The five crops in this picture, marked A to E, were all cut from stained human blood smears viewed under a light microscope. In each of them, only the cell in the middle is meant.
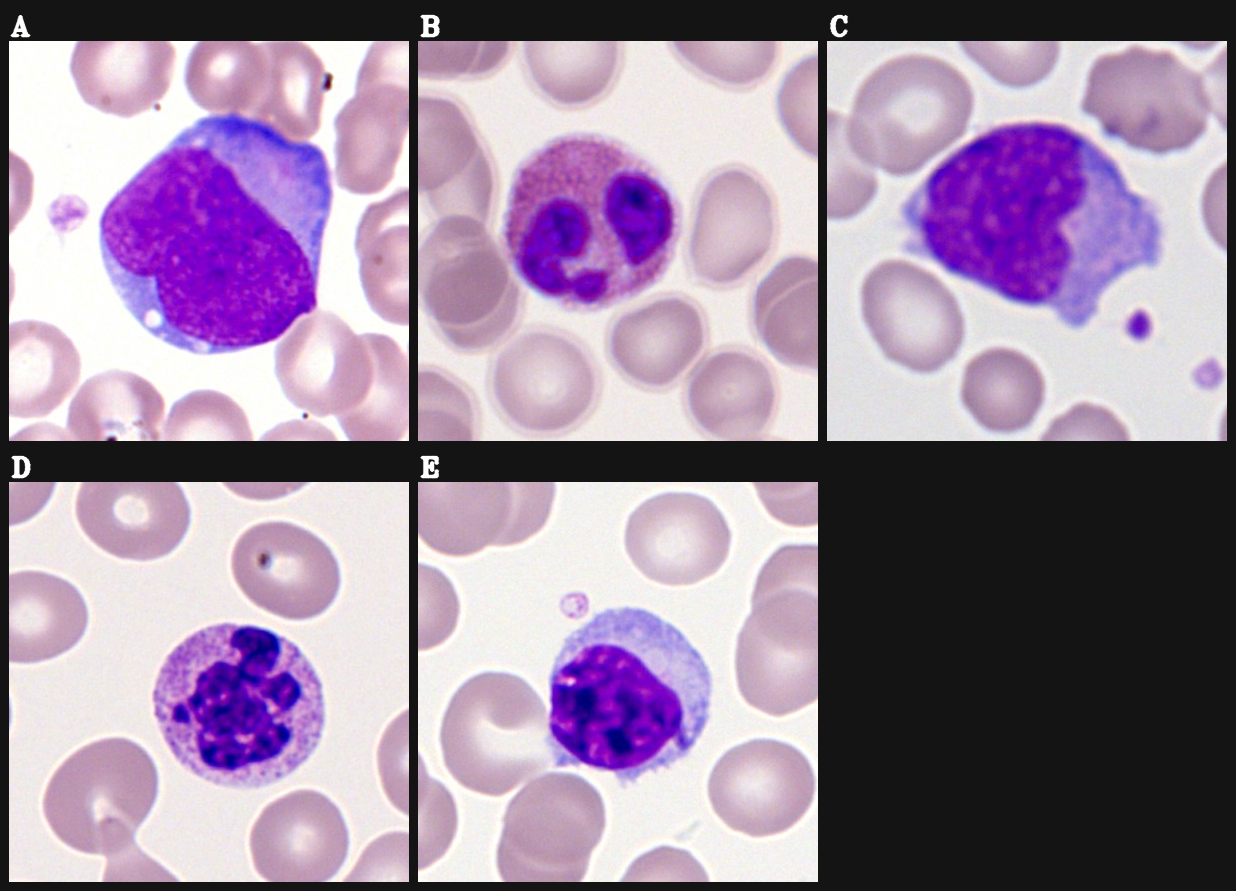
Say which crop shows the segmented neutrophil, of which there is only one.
D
